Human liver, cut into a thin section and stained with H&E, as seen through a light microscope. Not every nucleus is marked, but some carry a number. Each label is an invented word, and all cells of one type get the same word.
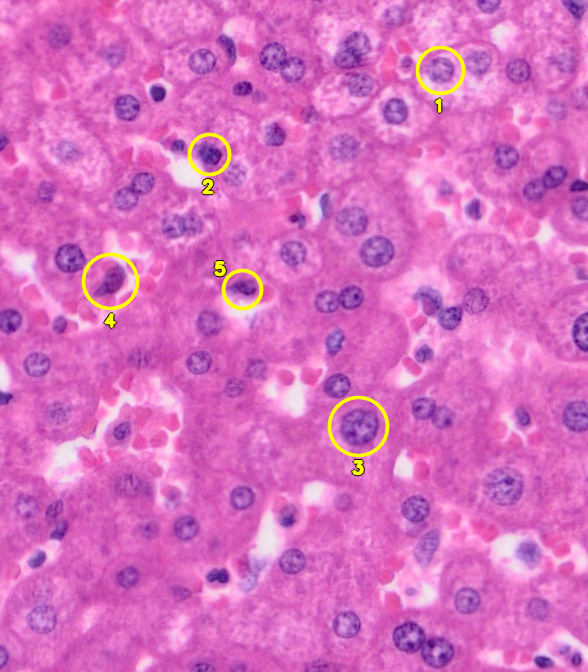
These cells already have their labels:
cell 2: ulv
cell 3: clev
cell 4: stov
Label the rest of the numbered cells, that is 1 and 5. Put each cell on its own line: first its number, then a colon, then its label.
1: clev
5: stov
